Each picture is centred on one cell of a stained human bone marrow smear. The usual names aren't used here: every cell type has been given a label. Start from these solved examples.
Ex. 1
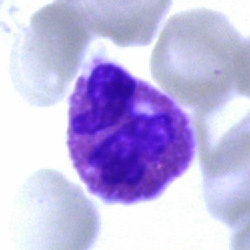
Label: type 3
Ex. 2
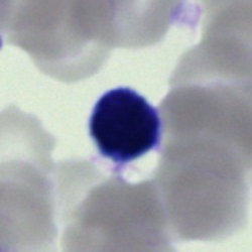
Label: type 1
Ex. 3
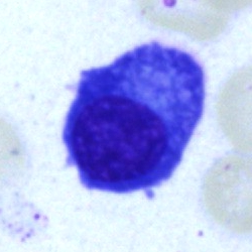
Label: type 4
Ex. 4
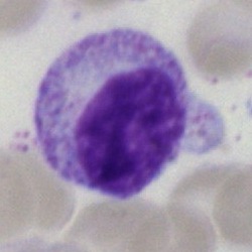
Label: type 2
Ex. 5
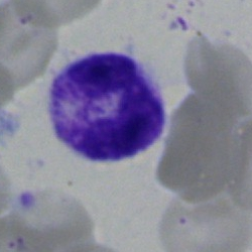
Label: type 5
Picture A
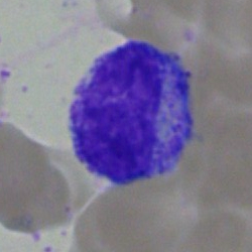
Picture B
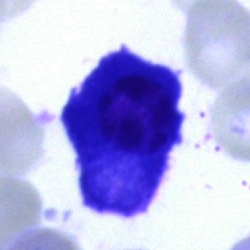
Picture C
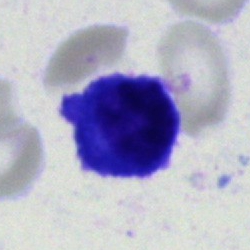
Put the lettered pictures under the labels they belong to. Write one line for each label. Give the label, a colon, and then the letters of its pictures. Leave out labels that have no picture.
type 4: B, C
type 2: A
